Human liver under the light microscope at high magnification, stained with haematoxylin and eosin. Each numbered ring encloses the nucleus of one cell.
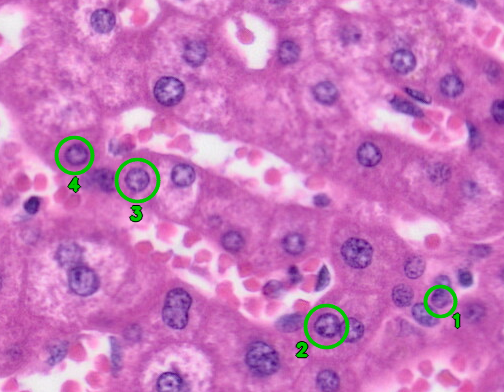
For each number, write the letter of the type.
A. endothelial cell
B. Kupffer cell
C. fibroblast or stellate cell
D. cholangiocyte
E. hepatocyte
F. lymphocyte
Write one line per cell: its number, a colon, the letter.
1: D
2: E
3: E
4: E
